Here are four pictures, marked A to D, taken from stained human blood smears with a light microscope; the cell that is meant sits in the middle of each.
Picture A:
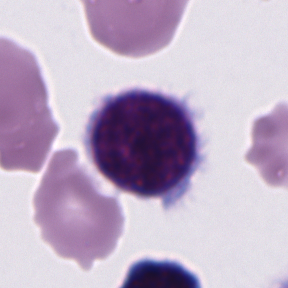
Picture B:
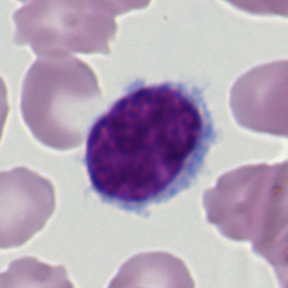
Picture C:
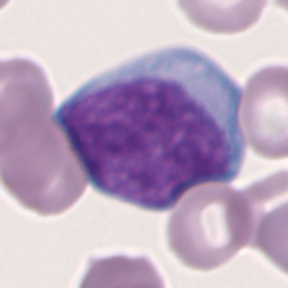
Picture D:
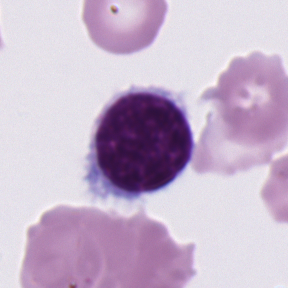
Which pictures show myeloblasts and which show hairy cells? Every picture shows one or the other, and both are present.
A: hairy cell
B: hairy cell
C: myeloblast
D: hairy cell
